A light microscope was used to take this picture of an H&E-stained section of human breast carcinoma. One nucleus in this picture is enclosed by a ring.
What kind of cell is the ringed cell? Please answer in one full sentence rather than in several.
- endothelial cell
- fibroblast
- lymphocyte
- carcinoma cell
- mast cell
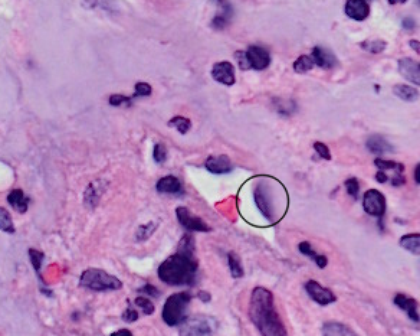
In short, the ringed cell on this section is an endothelial cell.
